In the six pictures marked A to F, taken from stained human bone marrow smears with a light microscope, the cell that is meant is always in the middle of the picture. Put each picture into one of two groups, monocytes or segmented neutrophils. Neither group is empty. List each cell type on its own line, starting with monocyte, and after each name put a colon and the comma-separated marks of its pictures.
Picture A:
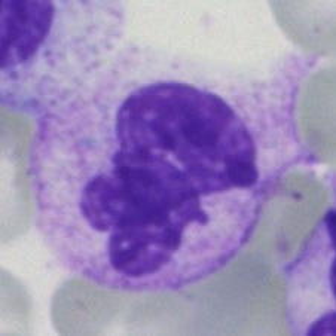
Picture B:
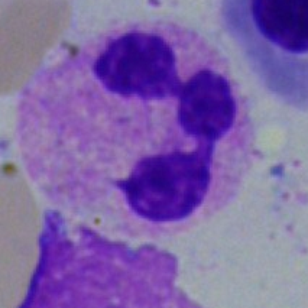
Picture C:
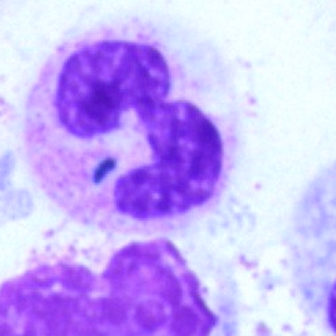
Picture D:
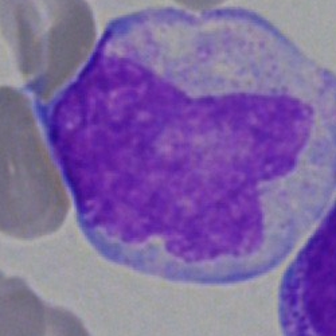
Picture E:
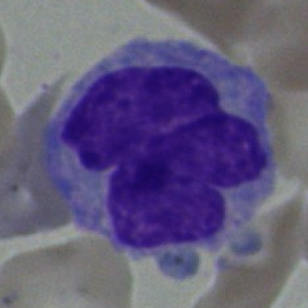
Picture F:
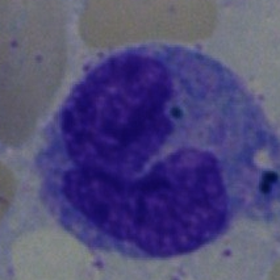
monocyte: D, E, F
segmented neutrophil: A, B, C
